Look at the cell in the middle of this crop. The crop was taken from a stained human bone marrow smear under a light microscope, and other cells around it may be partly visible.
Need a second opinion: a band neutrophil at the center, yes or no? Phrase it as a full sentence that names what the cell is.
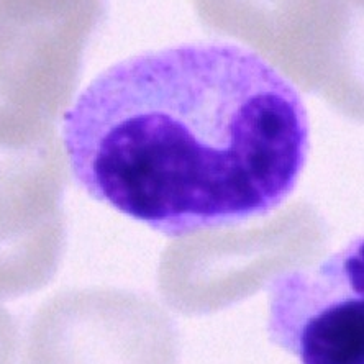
Yes, what sits in the middle of the crop is a band neutrophil.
